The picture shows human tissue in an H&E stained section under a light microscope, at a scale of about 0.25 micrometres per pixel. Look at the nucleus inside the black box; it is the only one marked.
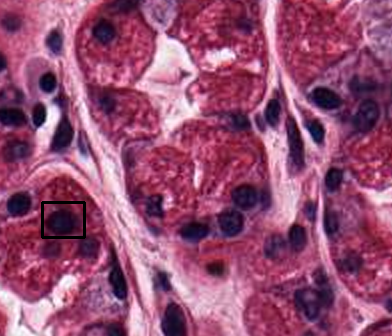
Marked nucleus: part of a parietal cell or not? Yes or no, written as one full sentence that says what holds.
Yes, the marked nucleus is one that belongs to a parietal cell.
